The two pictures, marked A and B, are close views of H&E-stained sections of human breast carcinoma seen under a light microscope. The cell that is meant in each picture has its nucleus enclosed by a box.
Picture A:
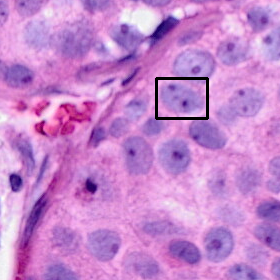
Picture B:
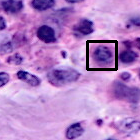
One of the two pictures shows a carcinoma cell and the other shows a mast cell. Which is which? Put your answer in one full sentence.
Picture A is of a carcinoma cell, and picture B is of a mast cell.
